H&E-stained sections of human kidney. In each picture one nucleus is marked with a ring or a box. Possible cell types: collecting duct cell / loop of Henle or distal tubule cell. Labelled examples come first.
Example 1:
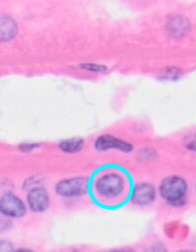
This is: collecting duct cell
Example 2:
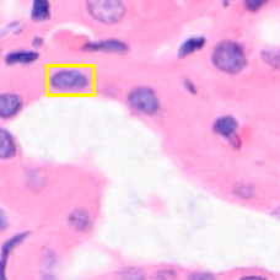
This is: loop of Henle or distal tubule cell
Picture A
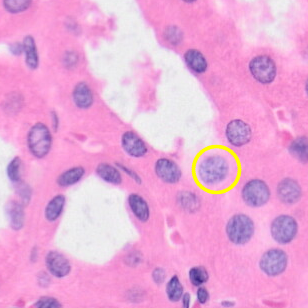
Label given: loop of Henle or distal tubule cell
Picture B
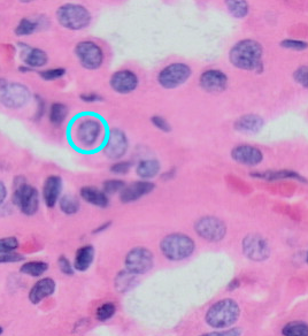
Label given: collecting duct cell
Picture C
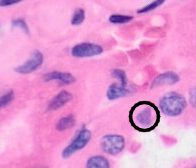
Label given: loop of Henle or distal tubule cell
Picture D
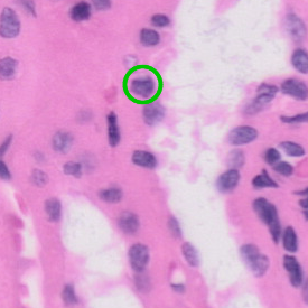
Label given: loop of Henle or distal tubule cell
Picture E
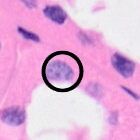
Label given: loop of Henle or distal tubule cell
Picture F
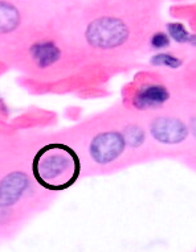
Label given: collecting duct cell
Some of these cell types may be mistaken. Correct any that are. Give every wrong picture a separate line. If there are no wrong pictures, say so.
None of the labels needs changing.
